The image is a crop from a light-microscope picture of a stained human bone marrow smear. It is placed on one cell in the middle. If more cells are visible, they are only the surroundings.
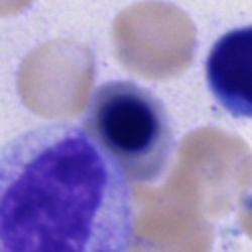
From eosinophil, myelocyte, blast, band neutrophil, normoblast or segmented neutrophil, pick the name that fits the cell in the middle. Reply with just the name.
normoblast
